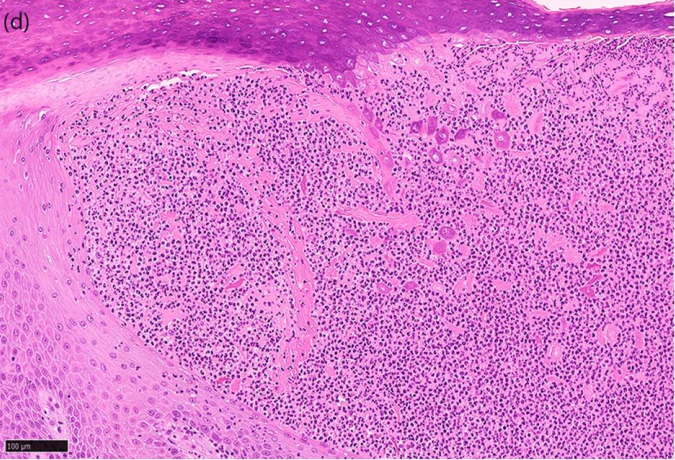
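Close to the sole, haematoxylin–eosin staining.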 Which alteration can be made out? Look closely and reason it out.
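A large, rounded cavity packed with small cells with dark nuclei lies beneath a thick pink-purple cornified layer. Squamous epithelium curves around the edges of the cavity.
Hence: subcorneal accumulation of neutrophils.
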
